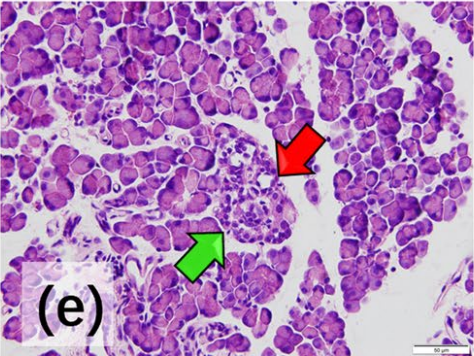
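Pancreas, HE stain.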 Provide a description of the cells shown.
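The acinar cells form crowded rounded groups with intensely purple cytoplasm. The islet appears as a small, irregular patch of paler cells with small nuclei, much less extensive than the surrounding acinar tissue. At its edge the tissue looks loosened, with small clear spaces between the cells. Pale connective tissue clefts run between acinar groups.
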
